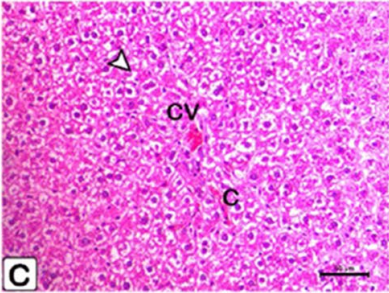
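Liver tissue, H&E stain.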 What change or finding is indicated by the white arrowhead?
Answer: Hydropic vacuolar alterations.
